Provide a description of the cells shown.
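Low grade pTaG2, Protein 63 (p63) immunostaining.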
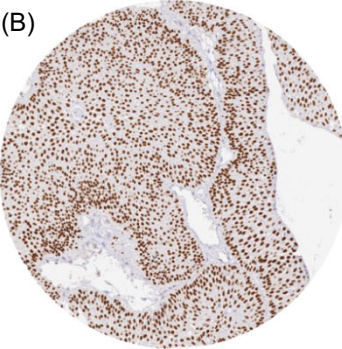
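This is a papillary urothelial tumour made of broad, thick sheets of crowded urothelial cells. Nearly every nucleus is stained brown, and the nuclei are small, oval and densely packed. Thin fibrovascular cores with slit-like spaces run between the thick epithelial fronds.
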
